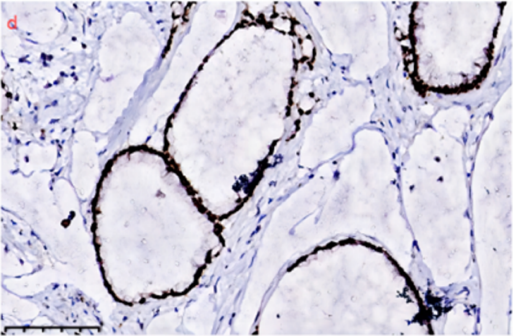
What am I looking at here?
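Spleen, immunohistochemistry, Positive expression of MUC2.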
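Rounded pools of pale mucoid material, separated by thin strands of fibrous stroma with small blue nuclei. Inside the pools, the pale material has a faint, bubbly texture with only a few cells in it. In places, the brown rim is broken or thickened into small clumps. The stroma between the pools holds scattered spindle-shaped and round cells. The stroma stains blue only.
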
